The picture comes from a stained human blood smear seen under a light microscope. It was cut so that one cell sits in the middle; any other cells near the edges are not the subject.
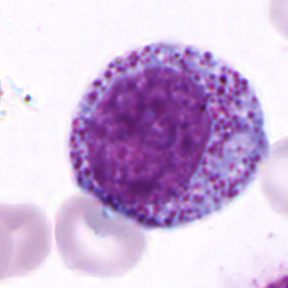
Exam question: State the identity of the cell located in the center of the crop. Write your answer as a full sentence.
Positioned in the middle of the crop is a promyelocyte.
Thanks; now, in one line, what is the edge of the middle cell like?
The membrane contour is even and smooth, with nothing projecting from it.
